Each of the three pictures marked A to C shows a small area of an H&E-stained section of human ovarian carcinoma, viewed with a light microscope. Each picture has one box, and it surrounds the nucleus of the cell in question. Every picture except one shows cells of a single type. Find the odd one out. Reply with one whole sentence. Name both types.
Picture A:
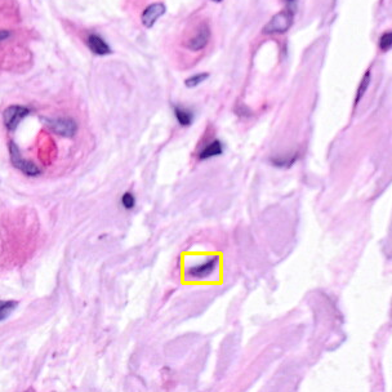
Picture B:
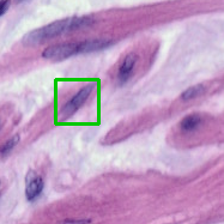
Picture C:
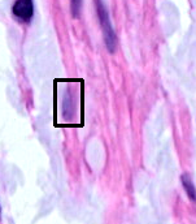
The different one is picture A; it shows an endothelial cell, whereas all the others show smooth muscle cells.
